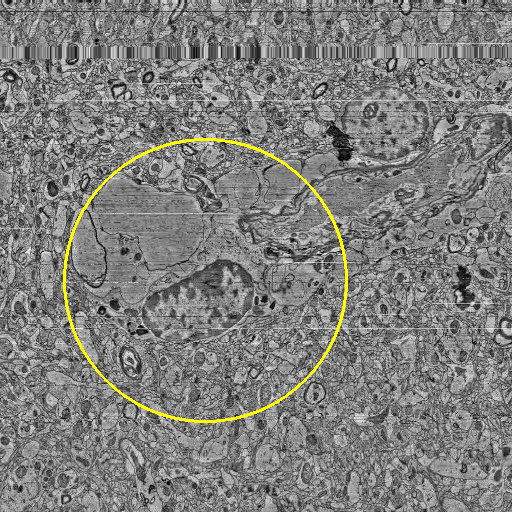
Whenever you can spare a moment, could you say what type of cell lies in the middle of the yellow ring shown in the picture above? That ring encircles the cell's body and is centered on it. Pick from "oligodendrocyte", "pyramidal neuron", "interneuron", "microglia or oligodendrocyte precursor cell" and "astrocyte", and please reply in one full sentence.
The cell whose body sits at the middle of the yellow ring is a microglial cell or oligodendrocyte precursor cell.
